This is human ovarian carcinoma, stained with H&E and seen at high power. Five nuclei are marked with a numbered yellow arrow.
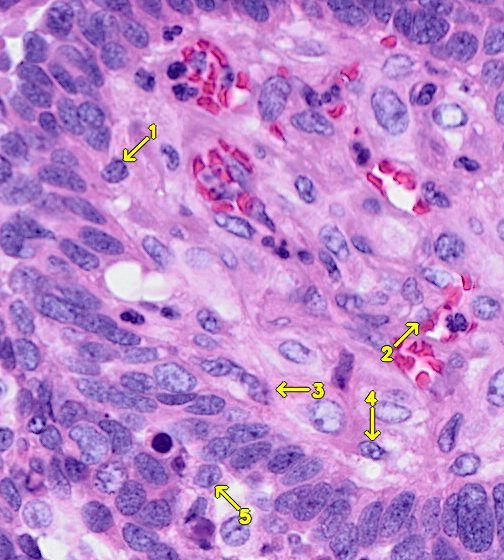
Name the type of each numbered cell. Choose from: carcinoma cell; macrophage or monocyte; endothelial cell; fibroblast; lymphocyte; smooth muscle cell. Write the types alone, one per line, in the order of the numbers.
macrophage or monocyte
endothelial cell
fibroblast
fibroblast
macrophage or monocyte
